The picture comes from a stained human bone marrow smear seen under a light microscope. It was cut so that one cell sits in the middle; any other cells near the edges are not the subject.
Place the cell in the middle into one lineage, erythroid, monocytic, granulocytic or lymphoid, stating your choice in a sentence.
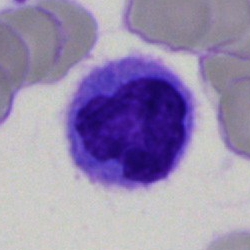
Lineage designation for the cell in the middle reads monocytic.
